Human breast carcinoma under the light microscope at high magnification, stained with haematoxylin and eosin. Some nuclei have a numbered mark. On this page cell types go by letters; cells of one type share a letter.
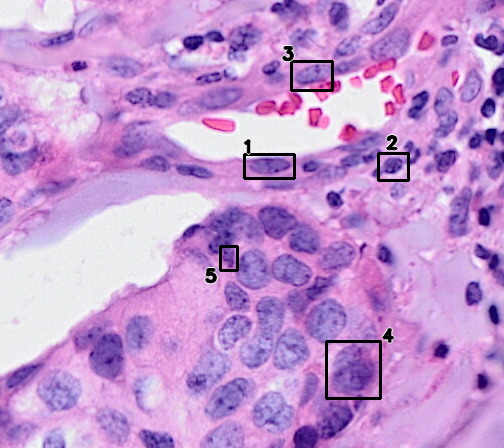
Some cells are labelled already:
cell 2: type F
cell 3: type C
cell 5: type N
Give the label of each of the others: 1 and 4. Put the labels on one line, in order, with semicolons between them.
type C; type N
